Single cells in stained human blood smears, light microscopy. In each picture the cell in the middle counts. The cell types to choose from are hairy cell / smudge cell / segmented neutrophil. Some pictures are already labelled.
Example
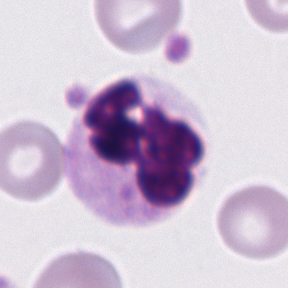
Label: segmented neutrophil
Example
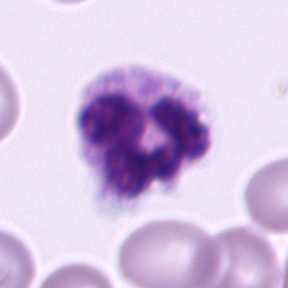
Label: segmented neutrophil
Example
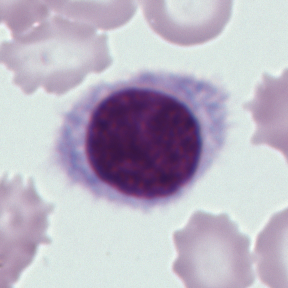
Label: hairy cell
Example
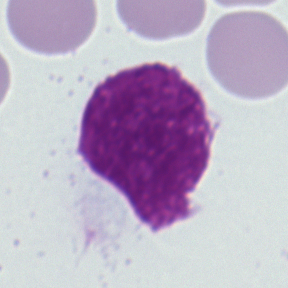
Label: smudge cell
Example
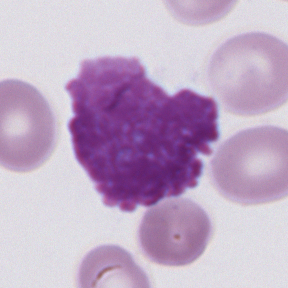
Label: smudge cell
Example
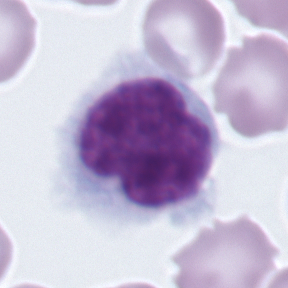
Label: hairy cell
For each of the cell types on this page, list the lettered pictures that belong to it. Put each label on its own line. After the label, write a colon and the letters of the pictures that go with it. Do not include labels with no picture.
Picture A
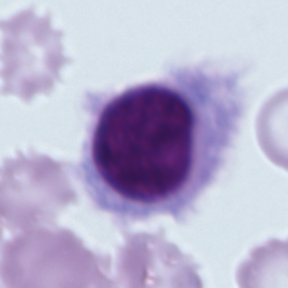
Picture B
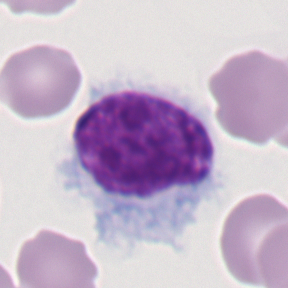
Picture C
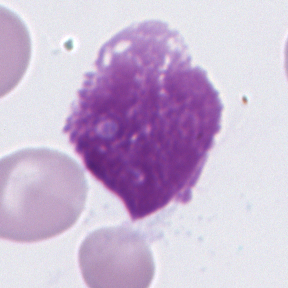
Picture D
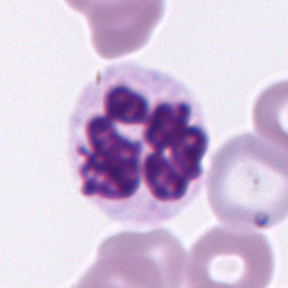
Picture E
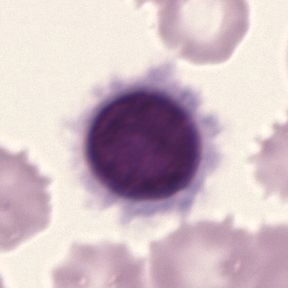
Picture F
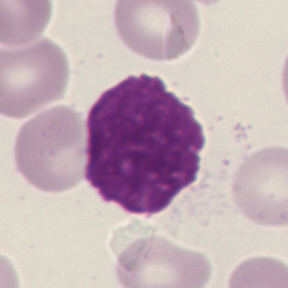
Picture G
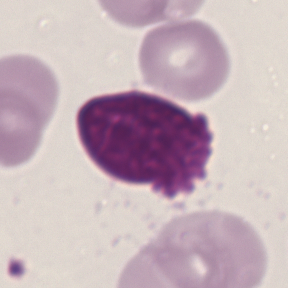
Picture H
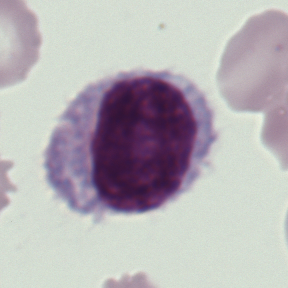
hairy cell: A, B, E, H
smudge cell: C, F, G
segmented neutrophil: D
